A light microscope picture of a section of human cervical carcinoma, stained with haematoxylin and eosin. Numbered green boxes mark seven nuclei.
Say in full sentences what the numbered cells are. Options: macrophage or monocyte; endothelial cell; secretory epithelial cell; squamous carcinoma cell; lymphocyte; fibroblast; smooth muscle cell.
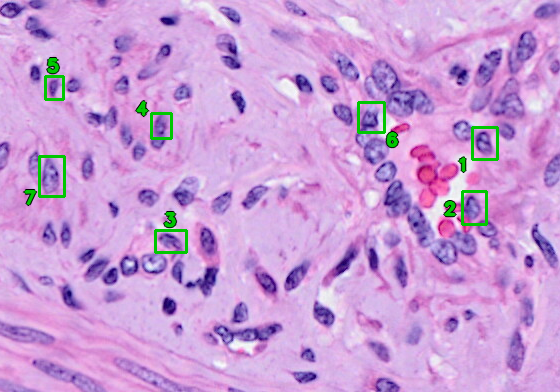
Cell 1 is an endothelial cell, cell 2 is an endothelial cell, cell 3 is an endothelial cell, cell 4 is a smooth muscle cell, cell 5 is a smooth muscle cell, cell 6 is an endothelial cell and cell 7 is a smooth muscle cell.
